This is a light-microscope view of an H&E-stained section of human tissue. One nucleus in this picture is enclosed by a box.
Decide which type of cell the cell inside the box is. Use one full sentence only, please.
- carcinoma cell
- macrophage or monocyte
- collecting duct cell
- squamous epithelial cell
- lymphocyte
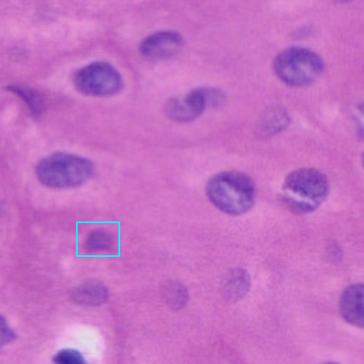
In cellular terms, the cell inside the box is a squamous epithelial cell.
